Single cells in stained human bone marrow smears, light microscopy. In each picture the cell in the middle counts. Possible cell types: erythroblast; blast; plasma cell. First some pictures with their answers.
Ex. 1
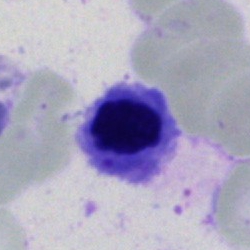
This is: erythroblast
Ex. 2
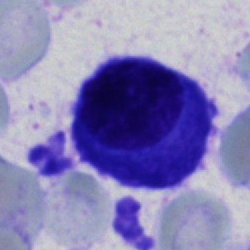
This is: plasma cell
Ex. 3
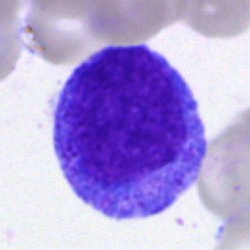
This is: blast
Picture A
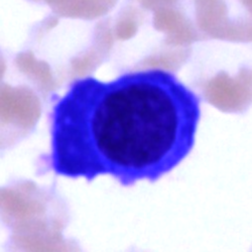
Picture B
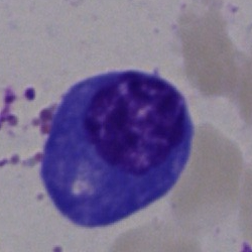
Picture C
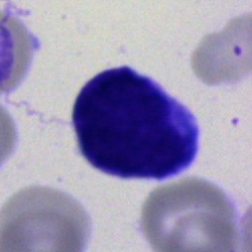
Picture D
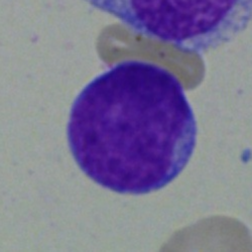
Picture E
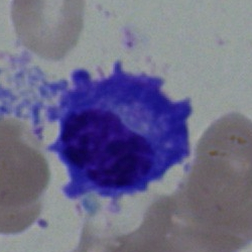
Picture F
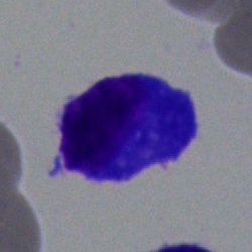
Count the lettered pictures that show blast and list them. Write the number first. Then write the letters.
2: C, D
